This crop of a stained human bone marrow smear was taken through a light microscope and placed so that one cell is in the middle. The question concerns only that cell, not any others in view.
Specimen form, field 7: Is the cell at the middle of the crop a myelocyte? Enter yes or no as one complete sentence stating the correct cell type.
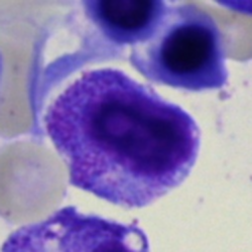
Yes, the cell shown at the crop's centre is a myelocyte.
